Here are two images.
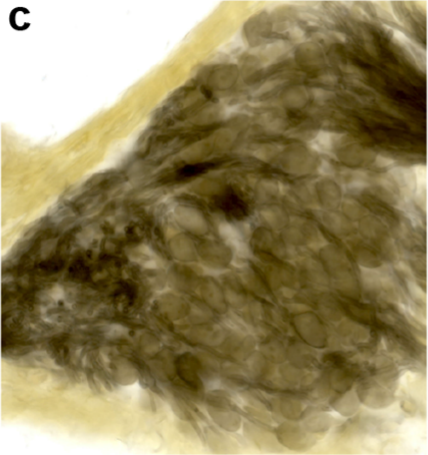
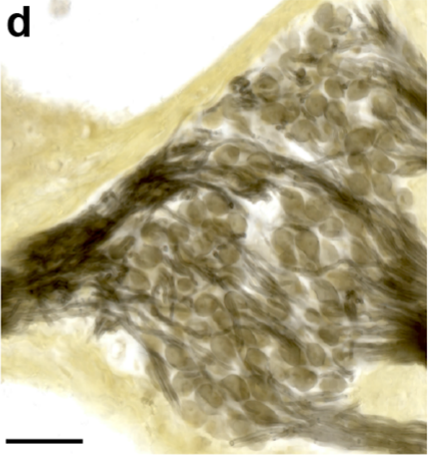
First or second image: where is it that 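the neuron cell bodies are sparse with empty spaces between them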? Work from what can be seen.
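First image: round cell bodies fill the canal densely with few gaps.
The second image.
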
